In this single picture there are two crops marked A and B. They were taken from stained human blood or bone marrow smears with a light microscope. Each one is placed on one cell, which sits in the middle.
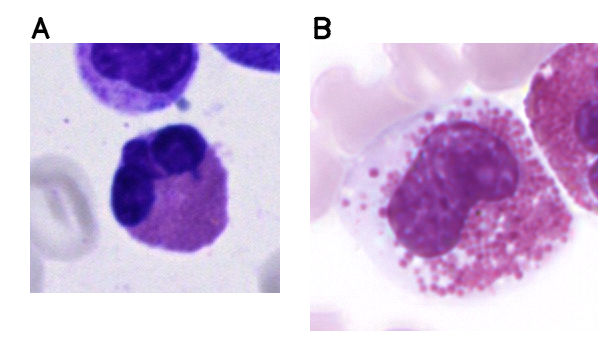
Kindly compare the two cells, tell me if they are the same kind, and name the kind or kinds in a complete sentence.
Yes, the centre of both crops is taken up by eosinophils.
